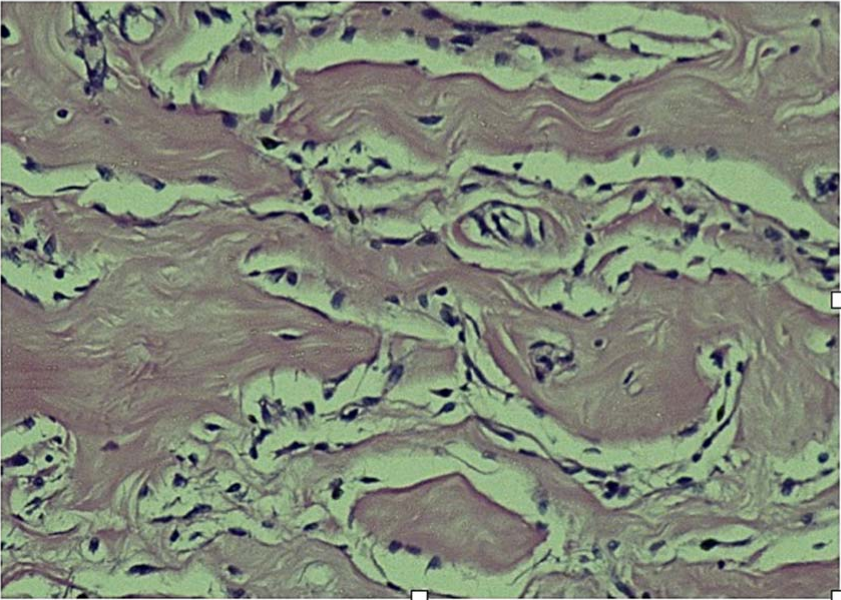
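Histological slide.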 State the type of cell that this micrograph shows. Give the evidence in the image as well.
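Stromal myofibroblasts. Flattened spindle cells with elongated dark nuclei line the slit-like spaces. The lining cells form a single discontinuous layer without nuclear crowding.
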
